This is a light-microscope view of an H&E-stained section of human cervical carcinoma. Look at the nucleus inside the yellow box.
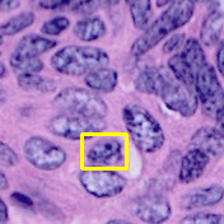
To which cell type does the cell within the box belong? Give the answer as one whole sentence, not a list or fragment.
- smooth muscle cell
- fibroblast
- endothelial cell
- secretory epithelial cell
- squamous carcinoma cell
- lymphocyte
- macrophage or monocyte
It is as a squamous carcinoma cell that the cell within the box is recorded.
